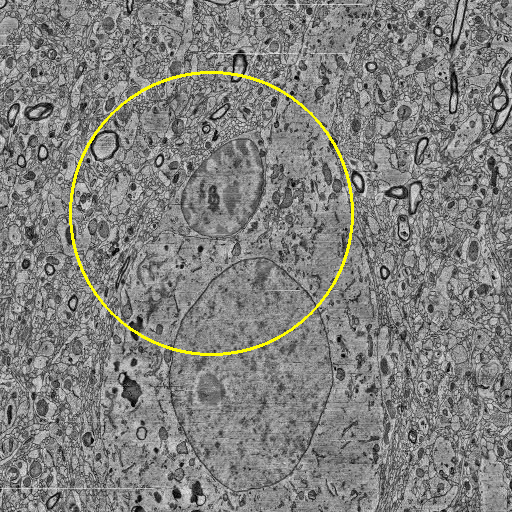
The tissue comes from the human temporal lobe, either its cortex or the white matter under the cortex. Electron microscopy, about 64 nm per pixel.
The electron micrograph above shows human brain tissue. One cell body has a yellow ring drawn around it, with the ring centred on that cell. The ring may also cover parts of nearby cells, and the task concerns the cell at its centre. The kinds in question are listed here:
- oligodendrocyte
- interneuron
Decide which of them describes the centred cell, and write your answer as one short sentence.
The centred cell is an oligodendrocyte.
